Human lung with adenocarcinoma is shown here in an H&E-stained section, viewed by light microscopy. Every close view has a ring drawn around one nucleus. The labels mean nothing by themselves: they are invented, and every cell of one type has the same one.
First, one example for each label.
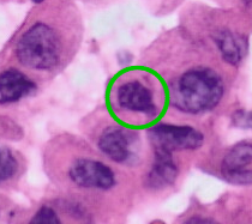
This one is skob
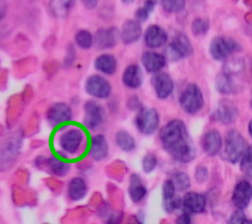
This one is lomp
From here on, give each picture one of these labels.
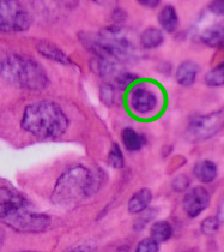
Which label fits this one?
lomp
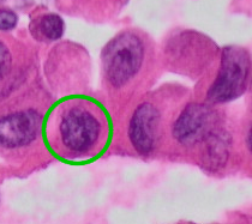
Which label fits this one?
skob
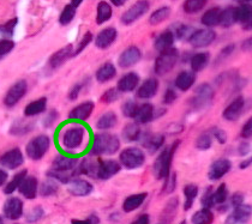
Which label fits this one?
lomp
